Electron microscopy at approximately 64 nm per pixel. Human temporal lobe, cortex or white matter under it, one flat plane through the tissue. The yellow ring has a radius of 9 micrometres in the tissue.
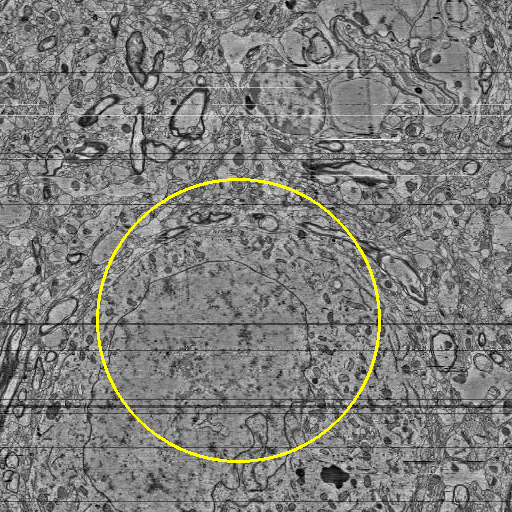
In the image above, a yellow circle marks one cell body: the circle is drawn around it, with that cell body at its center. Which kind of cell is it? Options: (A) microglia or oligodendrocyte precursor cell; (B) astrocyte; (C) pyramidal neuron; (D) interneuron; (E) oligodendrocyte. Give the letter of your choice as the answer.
C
